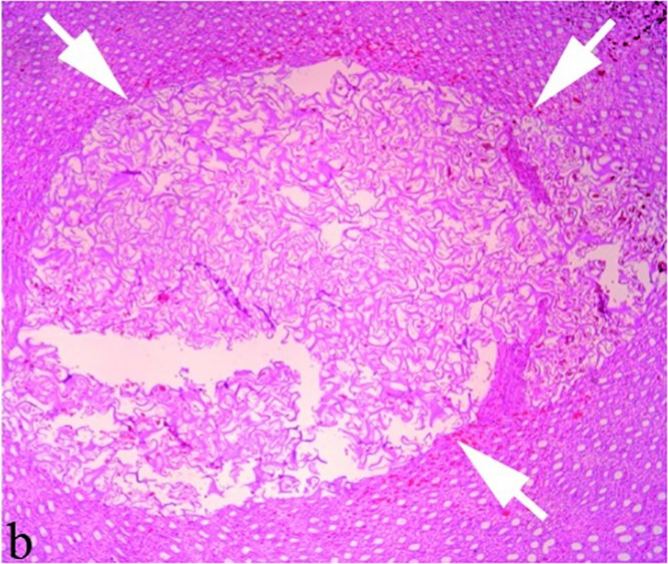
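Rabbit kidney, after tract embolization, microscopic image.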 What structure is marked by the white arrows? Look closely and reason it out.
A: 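A large oval area is filled with pale pink, lacy, wavy, acellular material. The material is sharply bounded and surrounded by densely packed round tissue profiles. The white arrows point to the edge of this filled area. On this evidence: gel-like gelatin sponge particles.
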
